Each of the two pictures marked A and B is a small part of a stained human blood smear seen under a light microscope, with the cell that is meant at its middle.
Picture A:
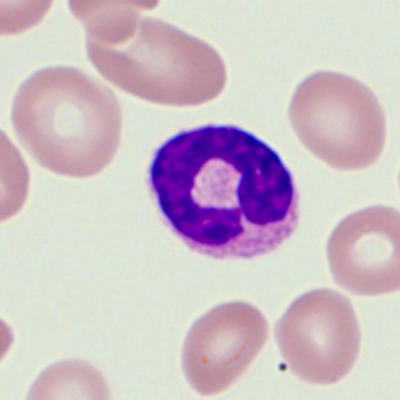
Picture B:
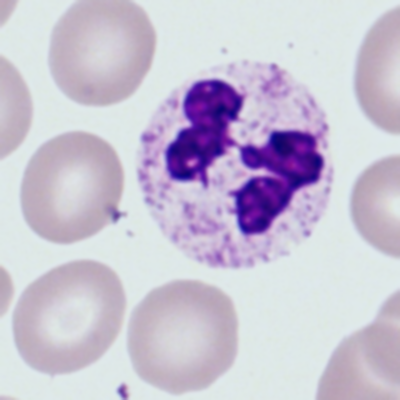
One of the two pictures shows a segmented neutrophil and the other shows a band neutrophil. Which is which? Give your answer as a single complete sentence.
Picture A shows a band neutrophil and picture B shows a segmented neutrophil.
